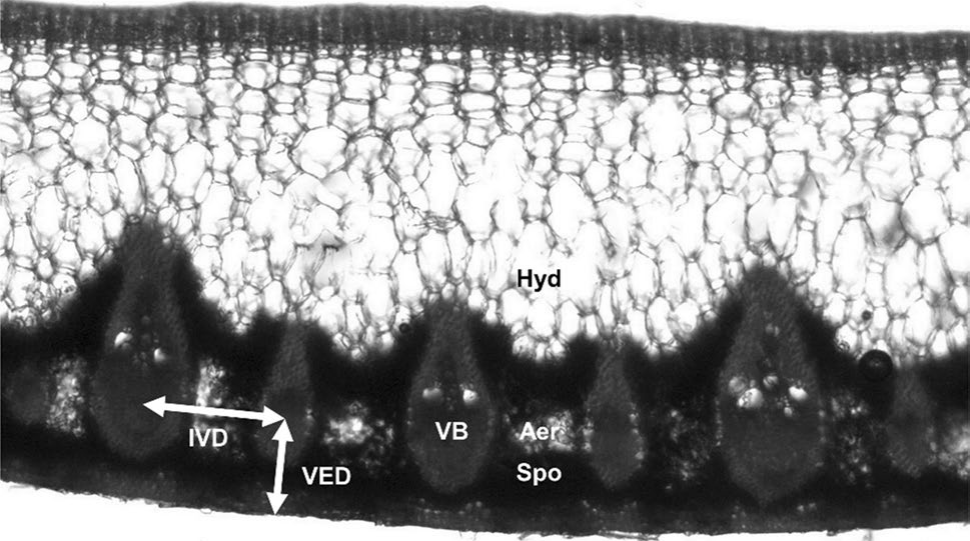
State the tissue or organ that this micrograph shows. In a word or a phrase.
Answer: Leaf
